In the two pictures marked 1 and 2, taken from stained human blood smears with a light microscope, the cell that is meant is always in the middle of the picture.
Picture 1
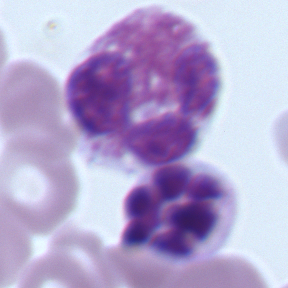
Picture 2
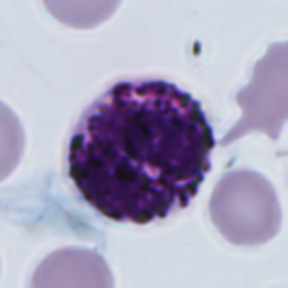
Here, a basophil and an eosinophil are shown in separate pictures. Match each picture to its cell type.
1: eosinophil
2: basophil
